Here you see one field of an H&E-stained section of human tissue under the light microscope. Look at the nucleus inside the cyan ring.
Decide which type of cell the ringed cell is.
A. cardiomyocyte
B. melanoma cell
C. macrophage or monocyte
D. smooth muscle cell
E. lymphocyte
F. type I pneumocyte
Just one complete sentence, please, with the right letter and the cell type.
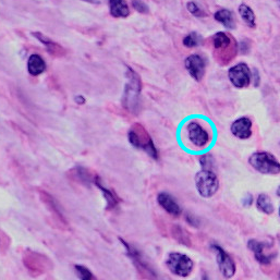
Here the ringed cell is a lymphocyte, which makes option E correct.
